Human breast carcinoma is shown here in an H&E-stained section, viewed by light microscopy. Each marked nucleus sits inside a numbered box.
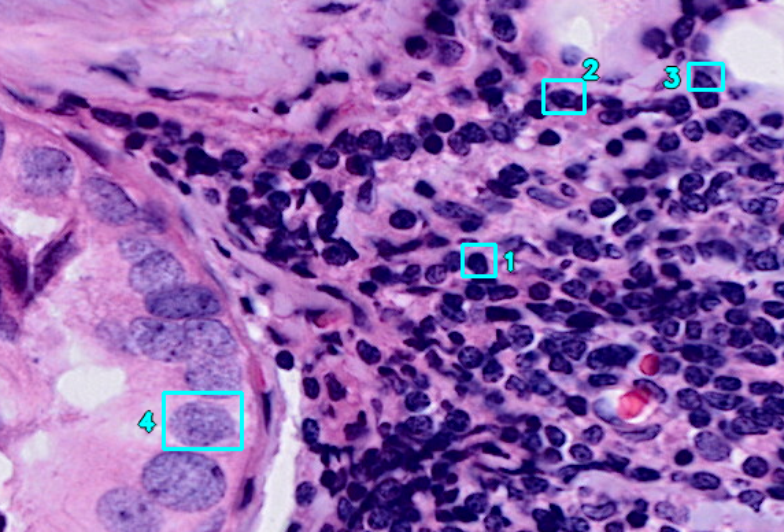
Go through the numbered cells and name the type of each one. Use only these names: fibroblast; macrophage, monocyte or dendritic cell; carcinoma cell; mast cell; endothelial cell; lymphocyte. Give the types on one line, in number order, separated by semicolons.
lymphocyte; lymphocyte; lymphocyte; carcinoma cell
